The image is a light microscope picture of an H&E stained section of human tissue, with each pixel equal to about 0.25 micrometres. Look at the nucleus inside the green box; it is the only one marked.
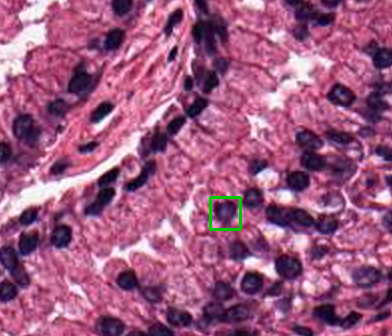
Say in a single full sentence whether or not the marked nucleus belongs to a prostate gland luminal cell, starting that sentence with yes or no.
Yes, it is the nucleus of a prostate gland luminal cell that has been marked.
